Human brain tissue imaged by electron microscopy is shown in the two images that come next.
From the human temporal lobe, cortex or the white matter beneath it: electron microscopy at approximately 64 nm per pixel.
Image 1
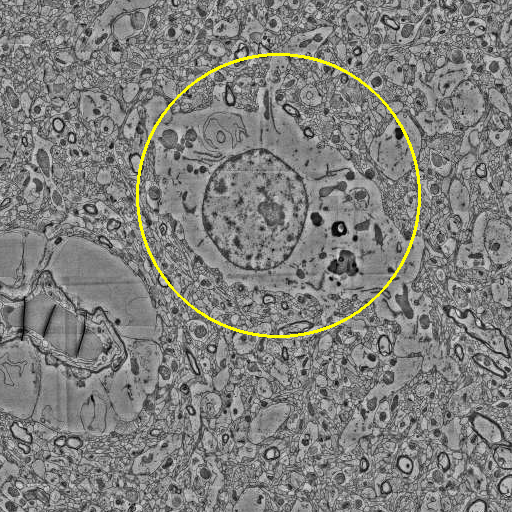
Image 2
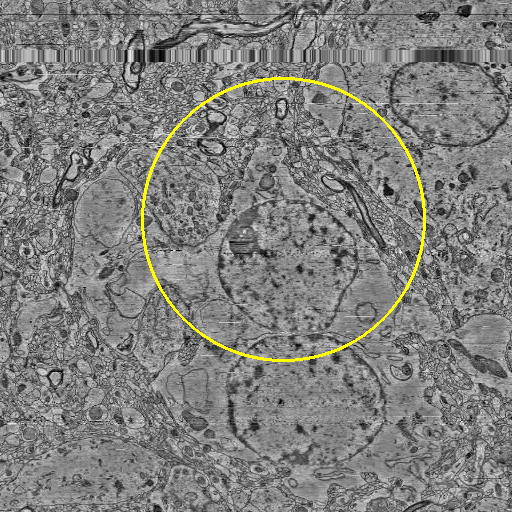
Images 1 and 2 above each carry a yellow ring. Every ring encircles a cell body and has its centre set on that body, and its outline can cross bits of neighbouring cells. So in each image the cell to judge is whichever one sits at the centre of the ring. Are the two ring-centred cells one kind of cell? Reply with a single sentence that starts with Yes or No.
Yes, in Image 1 and Image 2 the cells at the centres of their rings fall into one type.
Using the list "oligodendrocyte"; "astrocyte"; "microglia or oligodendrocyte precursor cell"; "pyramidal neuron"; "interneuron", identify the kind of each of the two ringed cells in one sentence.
Each of the two rings surrounds an astrocyte.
